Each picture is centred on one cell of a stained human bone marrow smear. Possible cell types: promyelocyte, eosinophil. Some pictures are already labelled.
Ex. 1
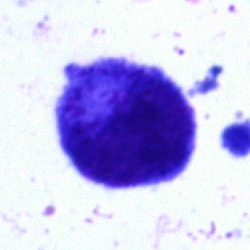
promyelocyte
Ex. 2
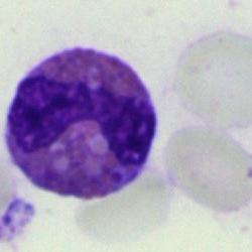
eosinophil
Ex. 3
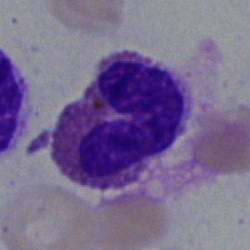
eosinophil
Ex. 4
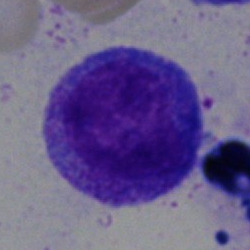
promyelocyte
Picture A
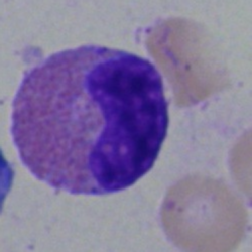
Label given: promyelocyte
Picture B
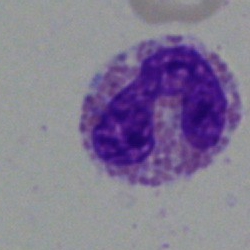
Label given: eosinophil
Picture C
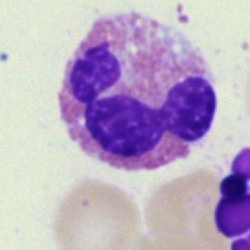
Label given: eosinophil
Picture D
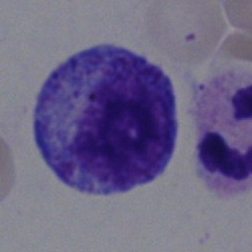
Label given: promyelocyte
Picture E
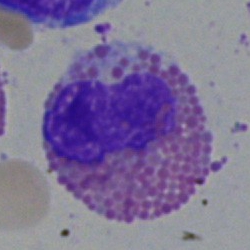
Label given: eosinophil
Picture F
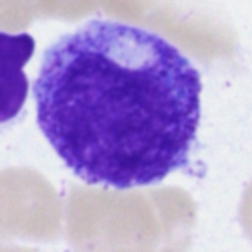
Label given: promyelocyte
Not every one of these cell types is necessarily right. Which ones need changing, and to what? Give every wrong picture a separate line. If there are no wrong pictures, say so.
Wrong: A (promyelocyte); correct: eosinophil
